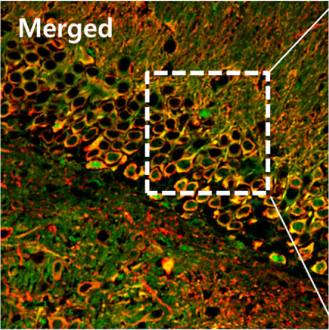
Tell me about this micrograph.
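Dentate gyrus with the granule layer running diagonally as a dense band of closely packed, round granule cells, each outlined by a yellow-orange rim. Above the band lies the fibrous molecular layer crossed by fine processes, and below it lies the hilus with more scattered cells. A dashed box marks a stretch of the granule layer.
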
